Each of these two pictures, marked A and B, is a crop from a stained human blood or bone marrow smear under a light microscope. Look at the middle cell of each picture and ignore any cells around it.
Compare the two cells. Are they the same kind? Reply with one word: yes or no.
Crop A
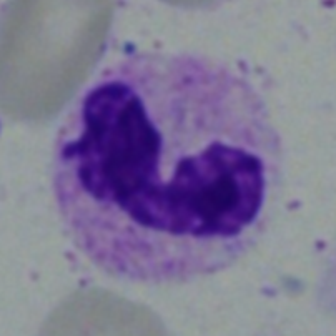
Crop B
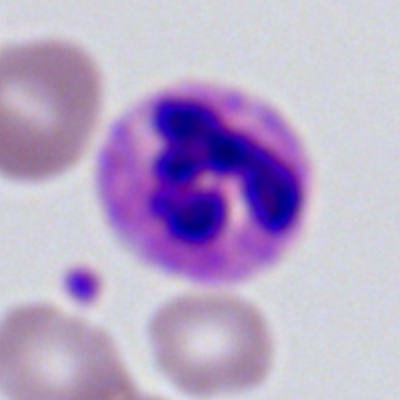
yes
